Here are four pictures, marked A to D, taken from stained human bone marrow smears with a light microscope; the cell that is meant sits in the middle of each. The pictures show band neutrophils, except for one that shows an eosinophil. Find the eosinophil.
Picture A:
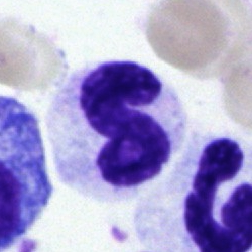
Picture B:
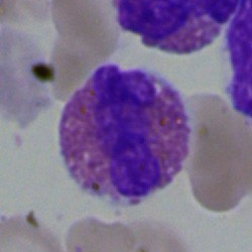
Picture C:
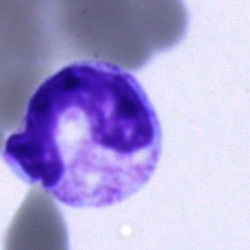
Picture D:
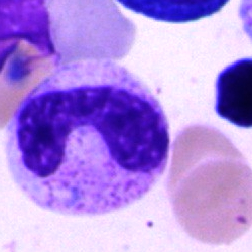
B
